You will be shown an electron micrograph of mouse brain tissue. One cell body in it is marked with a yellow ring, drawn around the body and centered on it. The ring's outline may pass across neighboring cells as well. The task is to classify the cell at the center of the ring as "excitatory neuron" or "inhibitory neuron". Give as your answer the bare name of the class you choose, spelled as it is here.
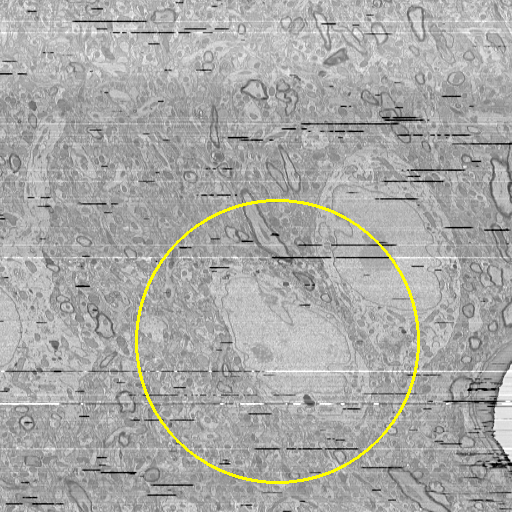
inhibitory neuron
